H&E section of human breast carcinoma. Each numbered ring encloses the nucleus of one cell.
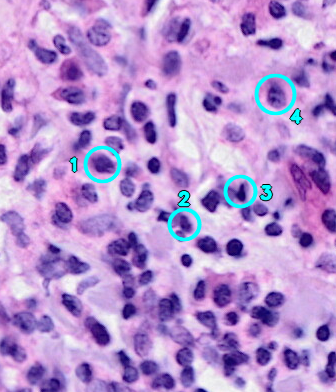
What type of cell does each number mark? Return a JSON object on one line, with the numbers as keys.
{"1": "lymphocyte", "2": "lymphocyte", "3": "lymphocyte", "4": "mast cell"}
